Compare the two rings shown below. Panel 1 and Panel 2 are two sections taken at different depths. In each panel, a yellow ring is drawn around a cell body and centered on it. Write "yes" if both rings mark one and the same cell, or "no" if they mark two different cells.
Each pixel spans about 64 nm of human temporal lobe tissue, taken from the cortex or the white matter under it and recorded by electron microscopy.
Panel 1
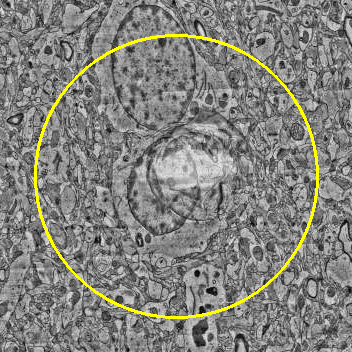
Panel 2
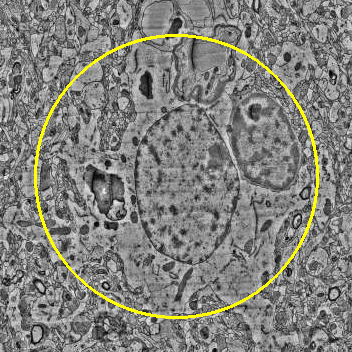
no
